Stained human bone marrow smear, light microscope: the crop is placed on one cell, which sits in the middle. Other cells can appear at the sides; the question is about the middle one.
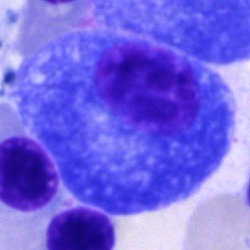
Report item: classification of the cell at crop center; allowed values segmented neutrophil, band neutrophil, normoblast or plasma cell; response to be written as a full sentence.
The cell of interest, located centrally, is a plasma cell.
